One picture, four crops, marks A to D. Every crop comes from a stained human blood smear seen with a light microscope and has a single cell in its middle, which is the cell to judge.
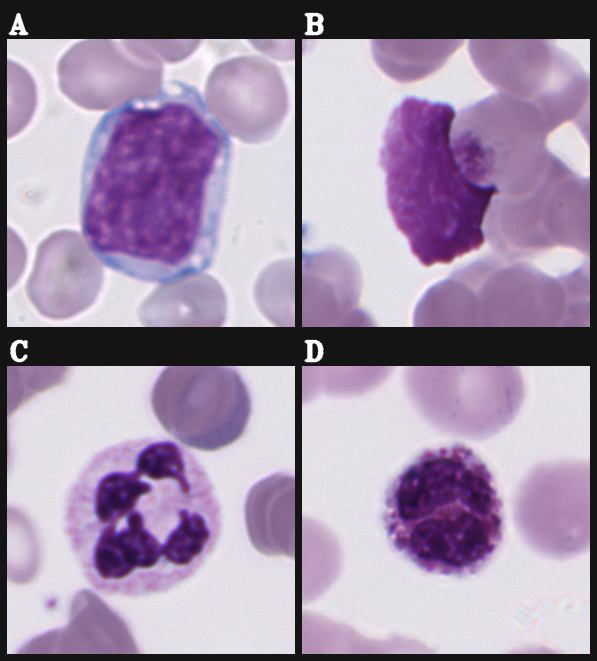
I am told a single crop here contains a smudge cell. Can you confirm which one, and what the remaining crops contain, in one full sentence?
Identified in crop B is a smudge cell, whereas crop A is a myeloblast, crop C is a segmented neutrophil and crop D is an eosinophil.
